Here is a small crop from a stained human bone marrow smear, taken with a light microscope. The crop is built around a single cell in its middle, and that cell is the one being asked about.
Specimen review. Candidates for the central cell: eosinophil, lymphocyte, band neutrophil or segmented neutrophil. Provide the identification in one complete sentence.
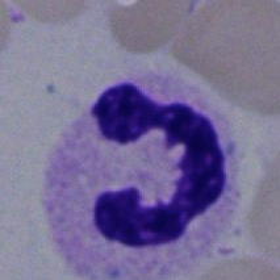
Standing at the centre of this crop is a segmented neutrophil.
